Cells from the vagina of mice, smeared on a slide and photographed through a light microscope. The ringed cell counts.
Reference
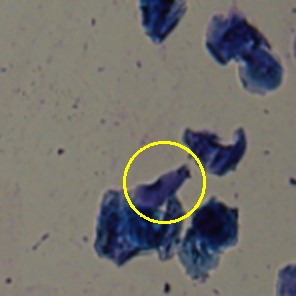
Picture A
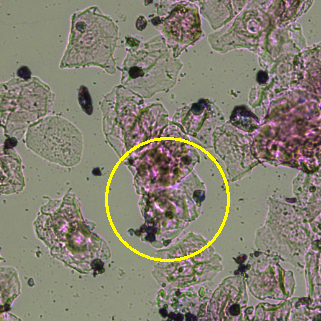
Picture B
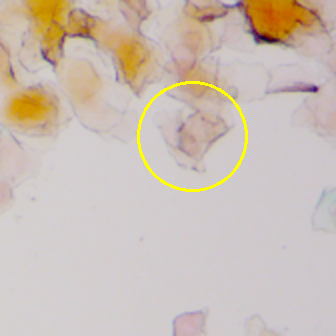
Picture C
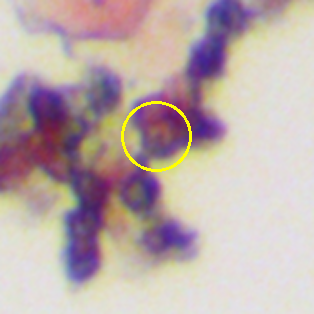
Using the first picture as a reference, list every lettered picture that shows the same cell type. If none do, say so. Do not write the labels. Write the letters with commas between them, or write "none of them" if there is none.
A, B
